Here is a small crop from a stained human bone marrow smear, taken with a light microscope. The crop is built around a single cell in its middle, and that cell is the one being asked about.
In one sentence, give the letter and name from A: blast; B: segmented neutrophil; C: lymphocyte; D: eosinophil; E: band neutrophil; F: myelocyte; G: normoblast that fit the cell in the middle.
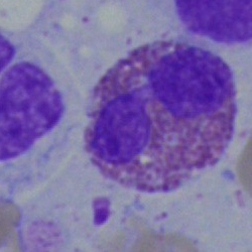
The cell in the middle is an eosinophil, so option D is correct.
